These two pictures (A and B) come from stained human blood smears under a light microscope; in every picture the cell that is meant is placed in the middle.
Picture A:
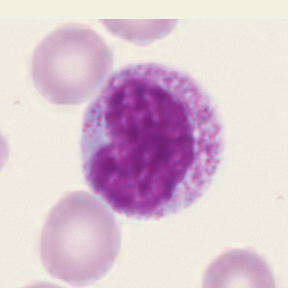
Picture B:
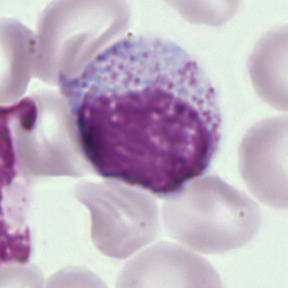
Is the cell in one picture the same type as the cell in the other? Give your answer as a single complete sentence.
Yes, they are the same type: both are metamyelocytes.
